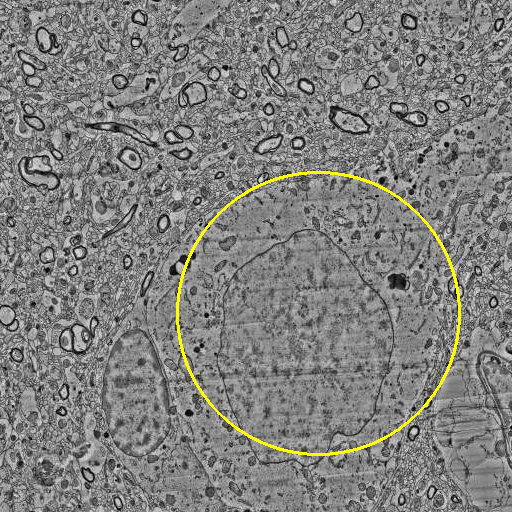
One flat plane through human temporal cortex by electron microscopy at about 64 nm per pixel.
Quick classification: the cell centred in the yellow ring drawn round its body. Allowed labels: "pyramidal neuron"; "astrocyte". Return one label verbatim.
pyramidal neuron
